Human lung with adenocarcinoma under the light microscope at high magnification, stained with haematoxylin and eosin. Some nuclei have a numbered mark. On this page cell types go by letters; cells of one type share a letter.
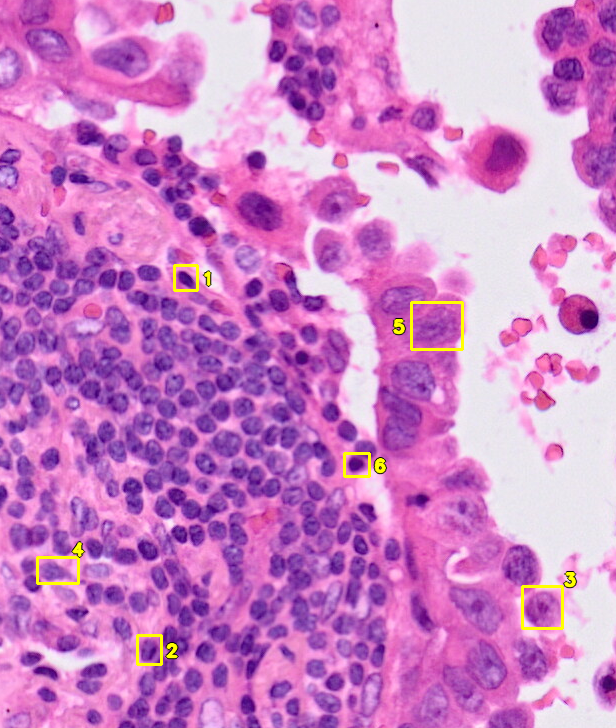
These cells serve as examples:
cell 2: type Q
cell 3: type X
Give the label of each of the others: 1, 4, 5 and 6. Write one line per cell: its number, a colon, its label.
1: type Q
4: type Q
5: type X
6: type Q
